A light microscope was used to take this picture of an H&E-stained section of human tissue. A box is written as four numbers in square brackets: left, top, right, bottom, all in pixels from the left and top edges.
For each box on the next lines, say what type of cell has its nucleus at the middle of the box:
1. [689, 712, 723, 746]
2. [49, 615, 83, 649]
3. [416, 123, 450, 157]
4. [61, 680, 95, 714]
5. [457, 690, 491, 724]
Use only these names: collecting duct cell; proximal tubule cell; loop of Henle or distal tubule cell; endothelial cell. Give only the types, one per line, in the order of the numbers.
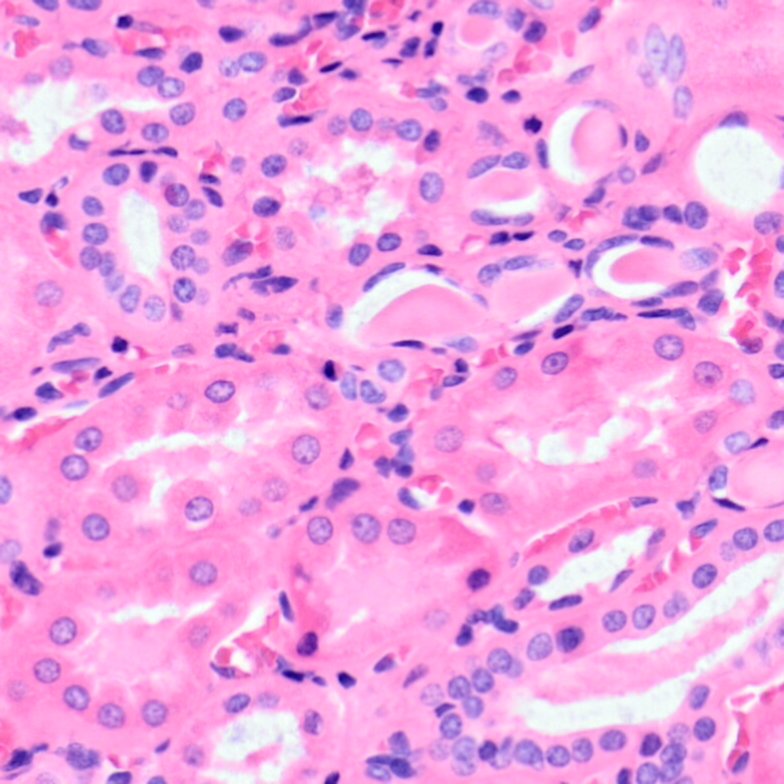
collecting duct cell
proximal tubule cell
loop of Henle or distal tubule cell
proximal tubule cell
collecting duct cell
